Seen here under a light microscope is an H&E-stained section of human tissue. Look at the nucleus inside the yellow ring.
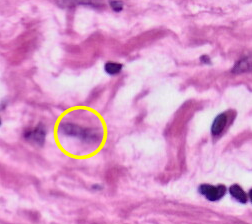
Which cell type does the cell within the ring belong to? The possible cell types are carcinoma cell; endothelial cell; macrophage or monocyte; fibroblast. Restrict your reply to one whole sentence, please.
In this tissue sample, the cell within the ring is a fibroblast.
